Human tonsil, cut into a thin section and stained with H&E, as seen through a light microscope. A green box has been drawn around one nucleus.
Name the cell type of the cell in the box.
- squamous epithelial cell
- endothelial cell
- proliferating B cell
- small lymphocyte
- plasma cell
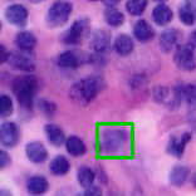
endothelial cell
